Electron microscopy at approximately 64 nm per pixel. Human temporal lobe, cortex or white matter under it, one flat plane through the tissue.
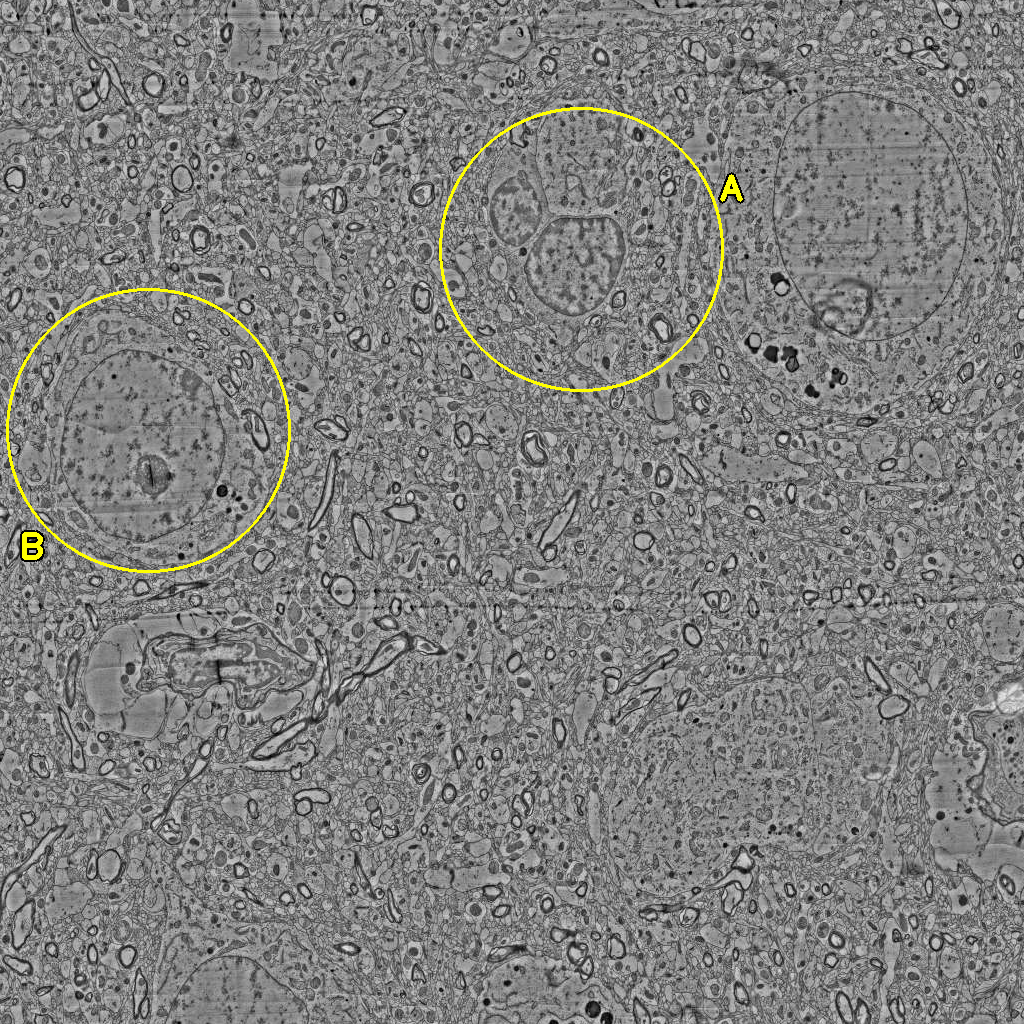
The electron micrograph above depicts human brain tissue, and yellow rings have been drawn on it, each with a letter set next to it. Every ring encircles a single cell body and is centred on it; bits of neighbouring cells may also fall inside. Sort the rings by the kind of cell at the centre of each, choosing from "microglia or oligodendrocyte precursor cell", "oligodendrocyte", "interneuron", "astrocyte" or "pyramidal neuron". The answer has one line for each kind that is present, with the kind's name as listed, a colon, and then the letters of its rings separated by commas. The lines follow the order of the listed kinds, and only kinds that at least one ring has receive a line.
oligodendrocyte: A
pyramidal neuron: B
